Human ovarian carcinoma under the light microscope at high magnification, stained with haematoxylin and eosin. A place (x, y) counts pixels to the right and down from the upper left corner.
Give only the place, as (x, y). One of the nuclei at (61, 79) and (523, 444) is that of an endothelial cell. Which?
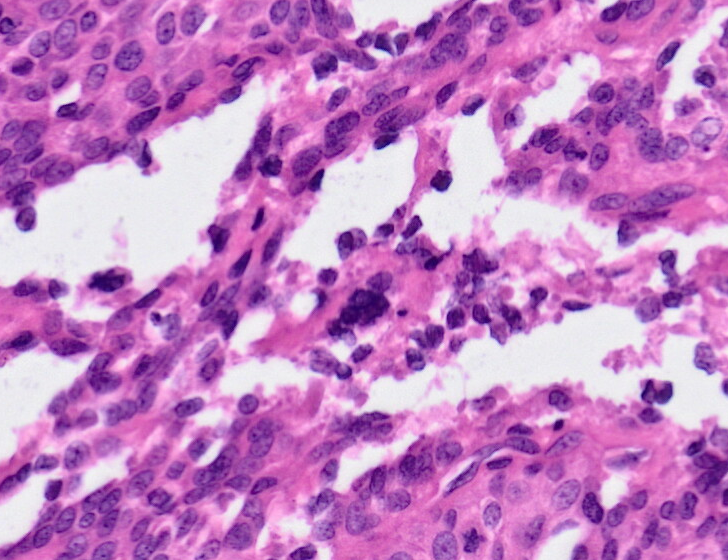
(523, 444)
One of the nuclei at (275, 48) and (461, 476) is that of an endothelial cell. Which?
(461, 476)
